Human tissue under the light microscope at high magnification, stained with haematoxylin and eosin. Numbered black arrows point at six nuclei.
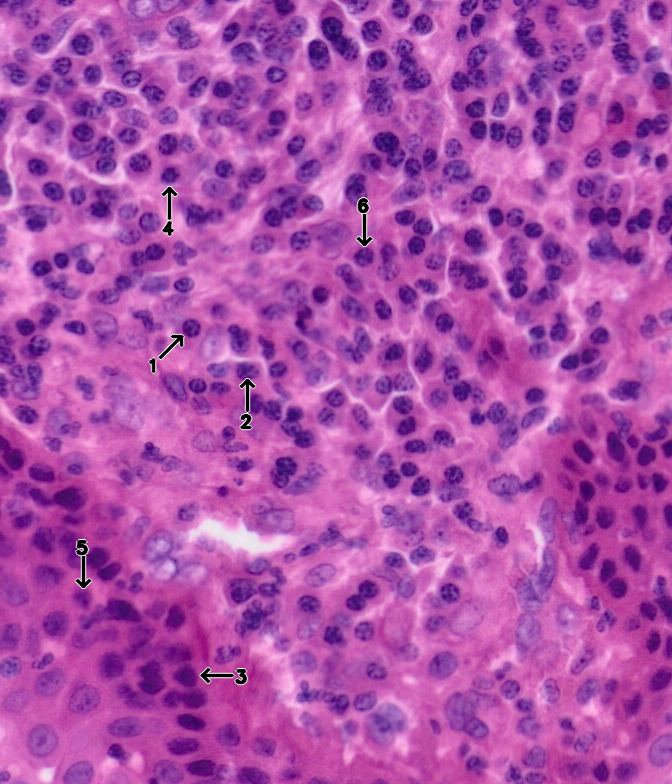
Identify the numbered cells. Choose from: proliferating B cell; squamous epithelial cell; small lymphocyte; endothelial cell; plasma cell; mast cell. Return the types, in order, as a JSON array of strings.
["plasma cell", "plasma cell", "squamous epithelial cell", "plasma cell", "squamous epithelial cell", "plasma cell"]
